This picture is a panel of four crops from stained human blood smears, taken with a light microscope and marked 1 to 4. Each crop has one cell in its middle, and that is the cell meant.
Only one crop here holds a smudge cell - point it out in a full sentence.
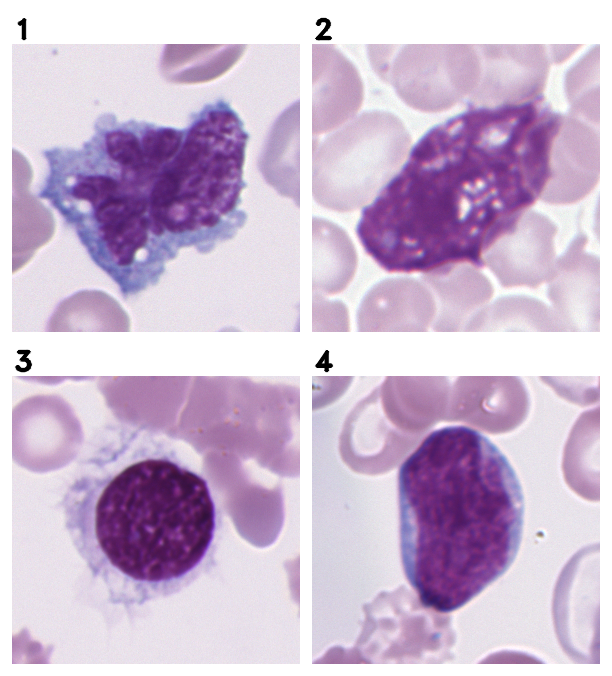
Crop 2 is the crop in which a smudge cell is shown.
